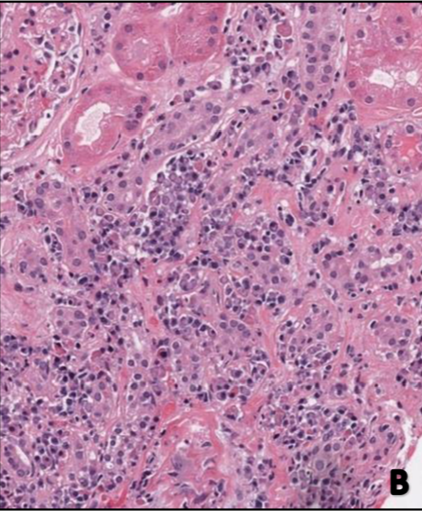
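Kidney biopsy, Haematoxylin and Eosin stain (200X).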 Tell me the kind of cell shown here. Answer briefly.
Plasma cells and eosinophils.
